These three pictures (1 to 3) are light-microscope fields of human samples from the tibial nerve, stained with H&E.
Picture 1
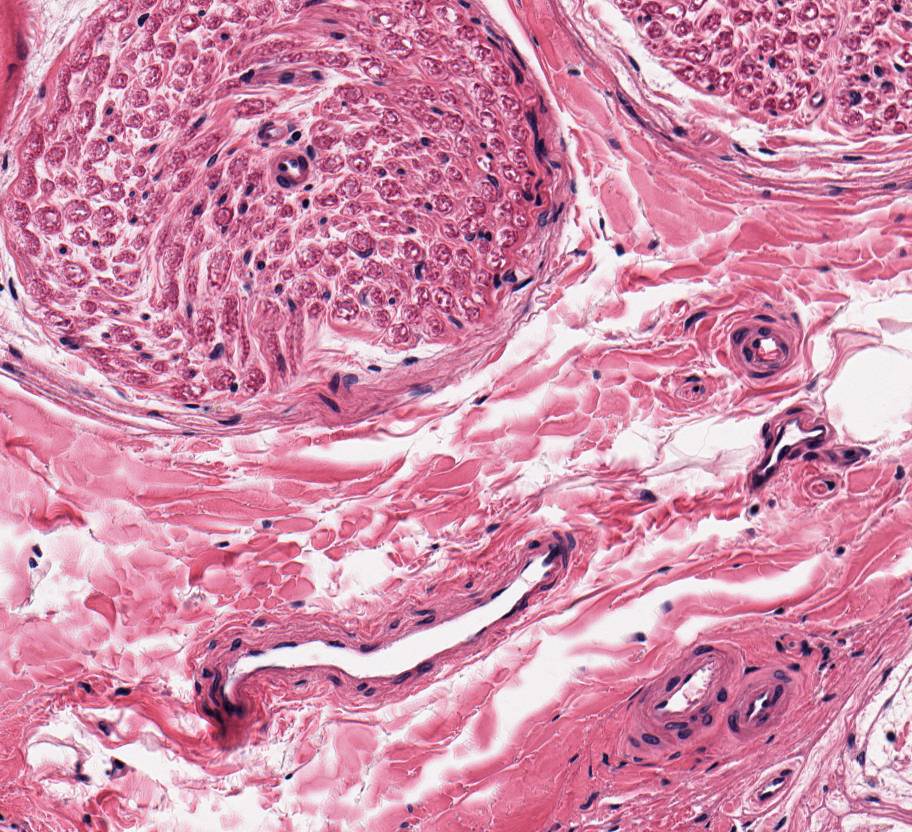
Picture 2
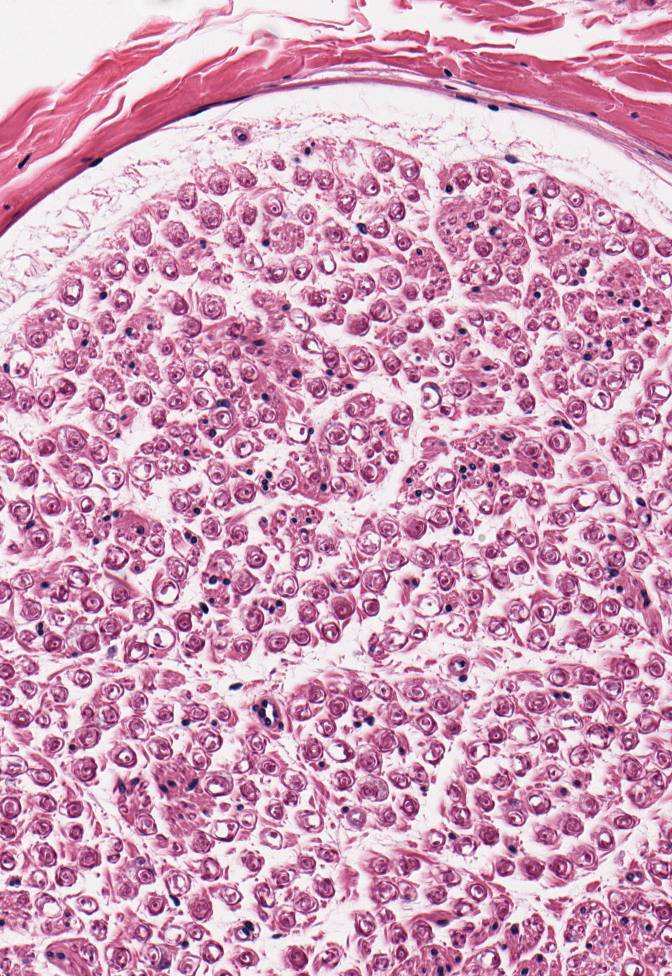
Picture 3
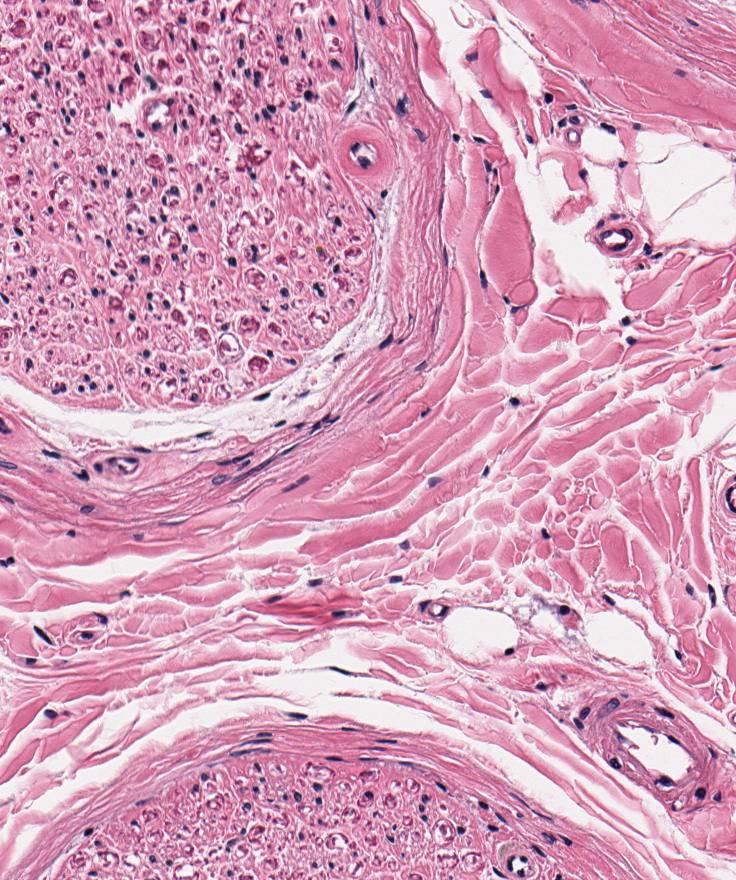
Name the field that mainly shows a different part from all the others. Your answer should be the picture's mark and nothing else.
2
